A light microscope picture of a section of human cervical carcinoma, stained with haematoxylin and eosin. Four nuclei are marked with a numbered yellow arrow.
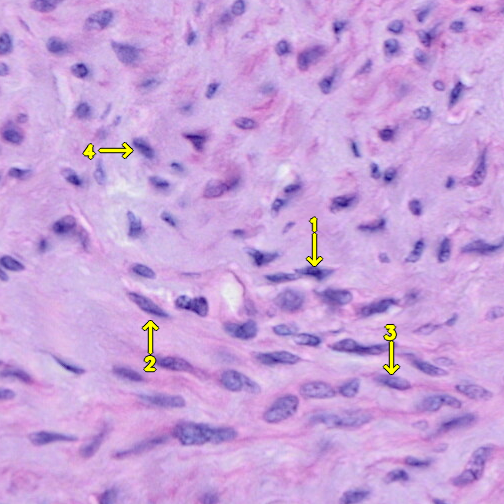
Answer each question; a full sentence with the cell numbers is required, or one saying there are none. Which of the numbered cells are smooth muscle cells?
Cell 3 is the only one of the numbered cells that is a smooth muscle cell.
